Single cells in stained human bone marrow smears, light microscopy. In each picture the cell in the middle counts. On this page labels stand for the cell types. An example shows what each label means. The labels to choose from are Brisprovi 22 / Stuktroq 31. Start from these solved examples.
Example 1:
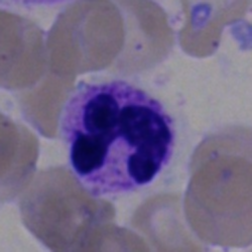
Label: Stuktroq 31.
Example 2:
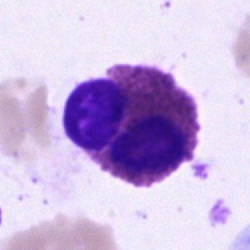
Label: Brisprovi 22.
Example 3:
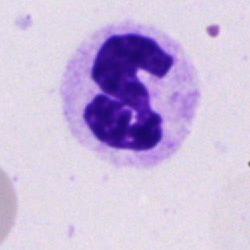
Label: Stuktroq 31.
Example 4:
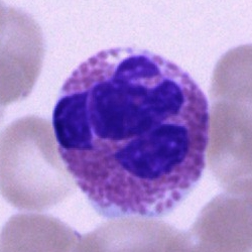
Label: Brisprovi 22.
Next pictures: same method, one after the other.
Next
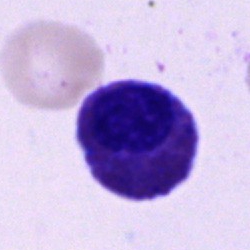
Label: Brisprovi 22.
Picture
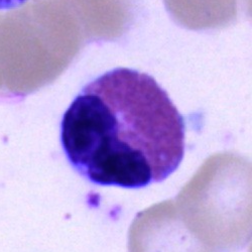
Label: Brisprovi 22.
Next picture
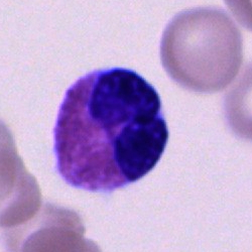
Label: Brisprovi 22.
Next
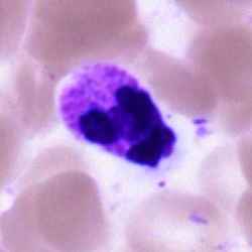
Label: Stuktroq 31.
